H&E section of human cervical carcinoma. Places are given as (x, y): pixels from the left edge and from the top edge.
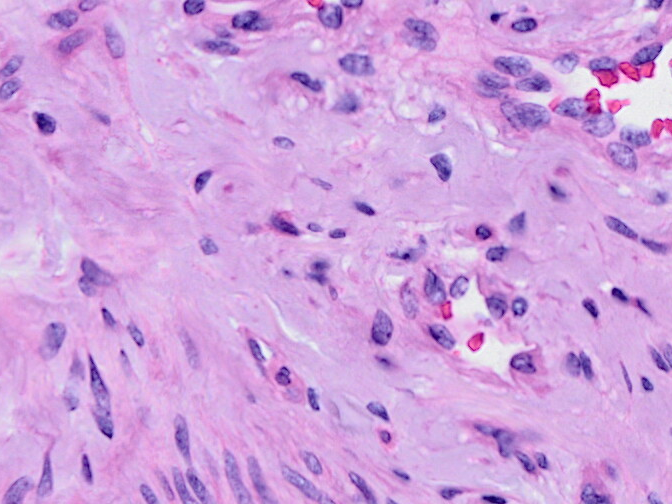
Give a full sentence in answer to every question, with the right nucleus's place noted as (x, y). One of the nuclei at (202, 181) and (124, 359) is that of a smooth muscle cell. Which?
Of the two nuclei, the nucleus belonging to a smooth muscle cell is located at (124, 359).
